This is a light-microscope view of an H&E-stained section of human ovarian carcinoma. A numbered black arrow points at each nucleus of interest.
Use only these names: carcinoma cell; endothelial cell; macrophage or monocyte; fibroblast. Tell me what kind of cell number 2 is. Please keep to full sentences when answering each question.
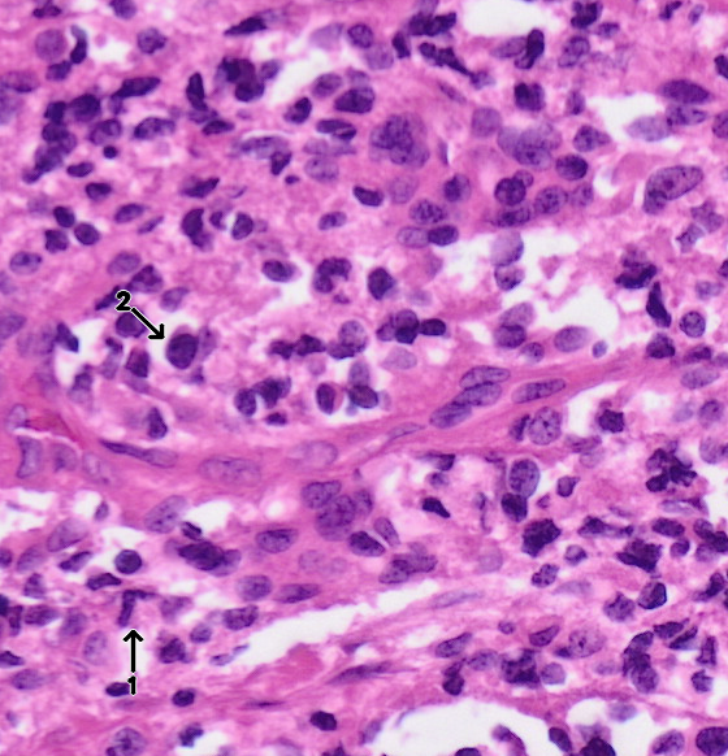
The correct answer for cell 2 is a carcinoma cell.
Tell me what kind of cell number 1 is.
The cell bearing label 1 corresponds to a macrophage or monocyte.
